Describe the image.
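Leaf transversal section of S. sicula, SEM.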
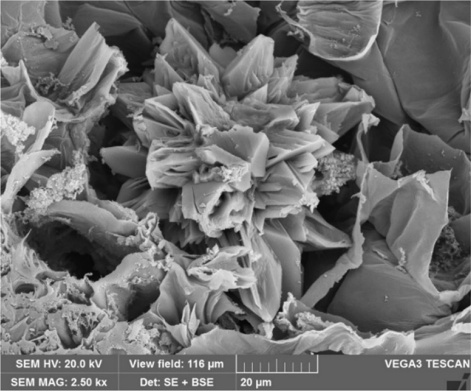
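In the centre lies a rosette-shaped aggregate made of many thin, angular, plate-like crystals that project in all directions from a common core. The druse sits inside a cell cavity, and around it are the torn and folded walls of neighbouring cells. Small granular deposits cling to the crystal surfaces and to nearby cell walls, and some adjacent cells appear empty or partly collapsed.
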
